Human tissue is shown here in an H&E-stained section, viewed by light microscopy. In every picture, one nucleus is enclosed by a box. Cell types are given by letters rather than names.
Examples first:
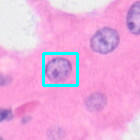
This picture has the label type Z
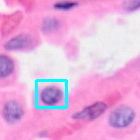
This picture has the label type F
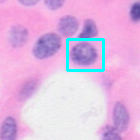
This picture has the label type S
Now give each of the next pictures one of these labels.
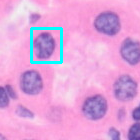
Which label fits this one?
type F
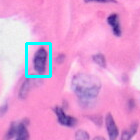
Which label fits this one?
type S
